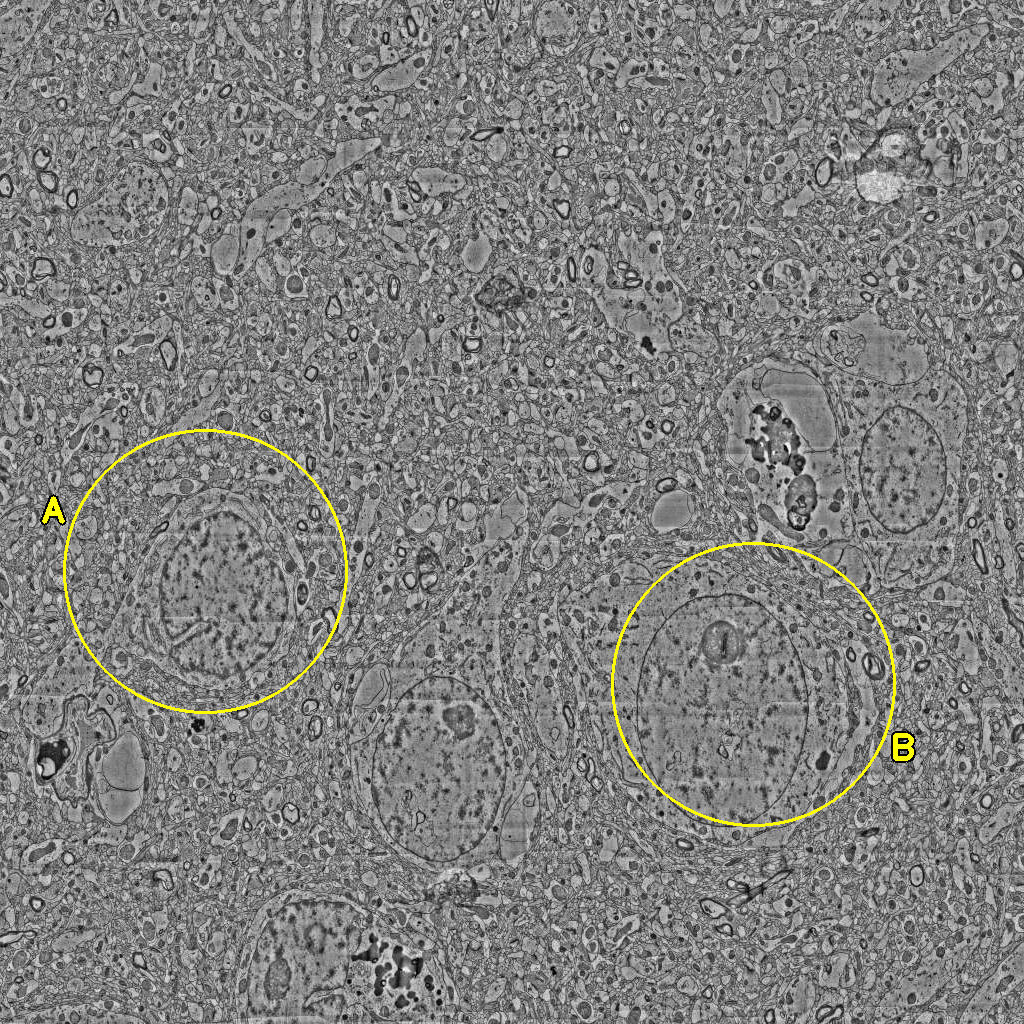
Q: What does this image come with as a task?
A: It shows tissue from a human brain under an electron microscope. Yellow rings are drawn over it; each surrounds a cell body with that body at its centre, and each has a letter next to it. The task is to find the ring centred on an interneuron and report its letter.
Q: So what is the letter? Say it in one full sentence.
It is A, the letter of the ring centred on the cell asked for in the picture.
